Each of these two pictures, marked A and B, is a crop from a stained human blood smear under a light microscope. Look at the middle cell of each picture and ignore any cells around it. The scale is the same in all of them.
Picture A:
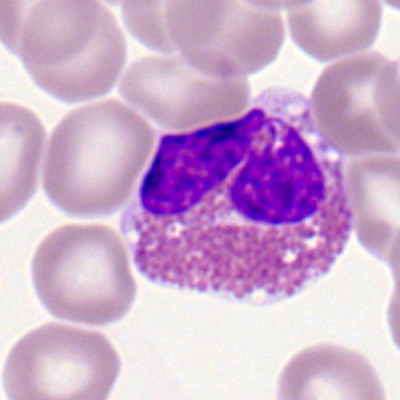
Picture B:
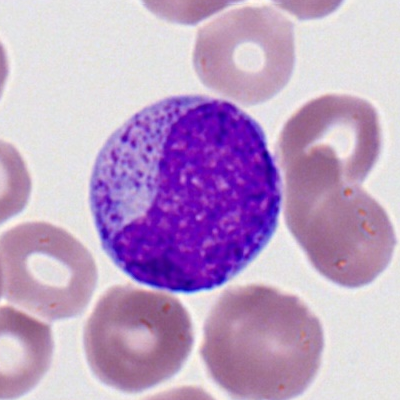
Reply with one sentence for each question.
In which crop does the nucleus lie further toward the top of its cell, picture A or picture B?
It is the nucleus in picture A that lies further toward the top of its cell.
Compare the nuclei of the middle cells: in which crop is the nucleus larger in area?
Larger is the nucleus in picture B, at roughly 1.5 times the area of the other.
